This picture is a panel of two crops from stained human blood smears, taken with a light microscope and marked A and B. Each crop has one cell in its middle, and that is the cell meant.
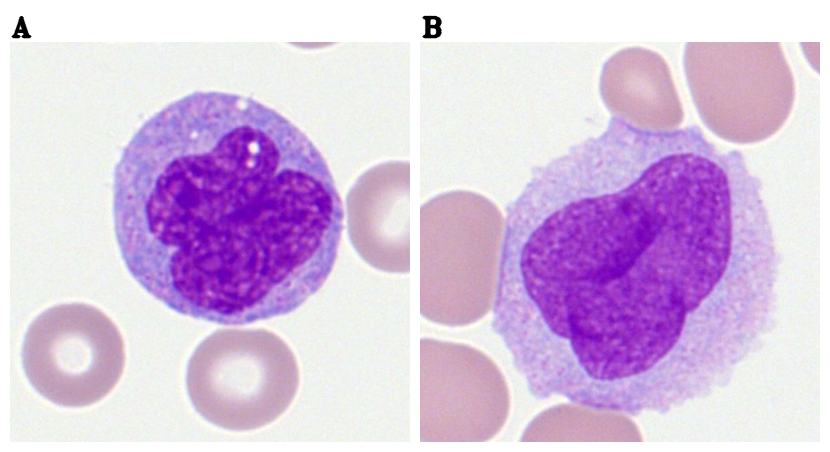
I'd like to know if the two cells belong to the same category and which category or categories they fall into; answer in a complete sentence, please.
Yes, the reply for both crops is monocytes.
